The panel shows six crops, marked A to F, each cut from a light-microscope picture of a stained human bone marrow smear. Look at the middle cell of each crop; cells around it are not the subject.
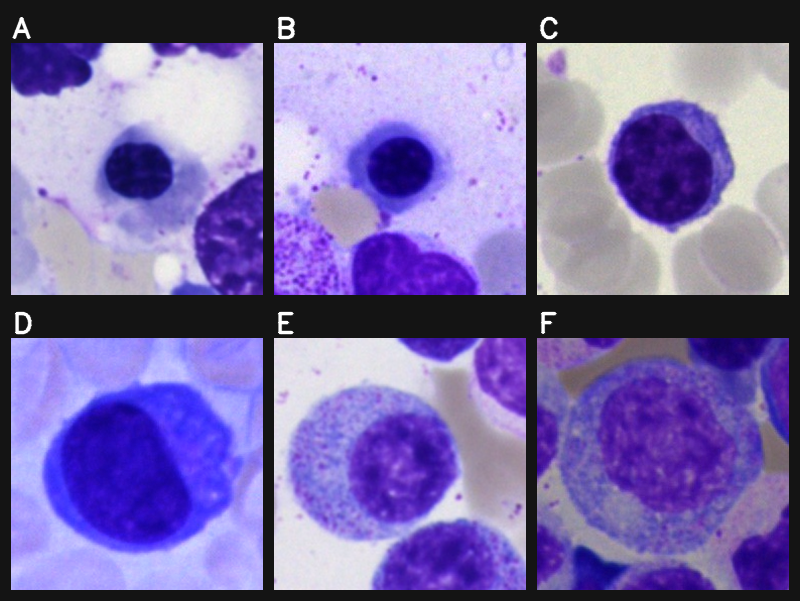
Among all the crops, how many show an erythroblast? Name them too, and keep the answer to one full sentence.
The cells shown in two of the crops, A and B, are erythroblasts.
